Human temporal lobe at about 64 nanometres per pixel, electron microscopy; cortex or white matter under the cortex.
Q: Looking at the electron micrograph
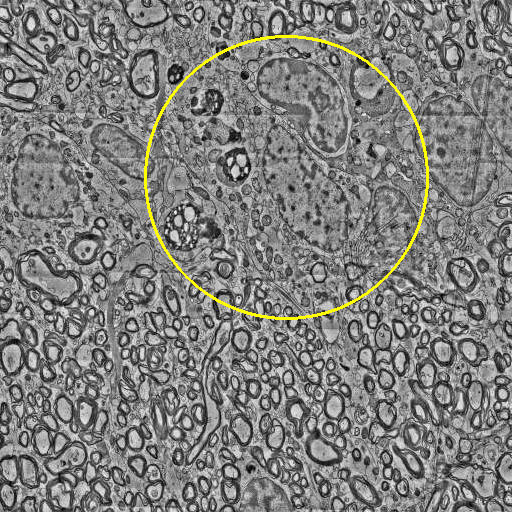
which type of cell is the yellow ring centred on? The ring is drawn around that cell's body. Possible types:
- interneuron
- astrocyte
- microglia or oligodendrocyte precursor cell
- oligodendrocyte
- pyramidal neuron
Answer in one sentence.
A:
The yellow ring is centred on an astrocyte.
